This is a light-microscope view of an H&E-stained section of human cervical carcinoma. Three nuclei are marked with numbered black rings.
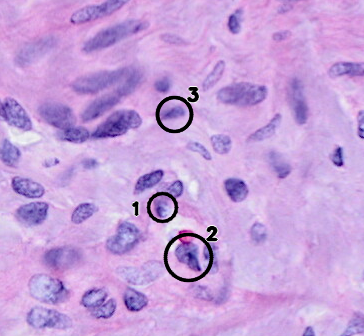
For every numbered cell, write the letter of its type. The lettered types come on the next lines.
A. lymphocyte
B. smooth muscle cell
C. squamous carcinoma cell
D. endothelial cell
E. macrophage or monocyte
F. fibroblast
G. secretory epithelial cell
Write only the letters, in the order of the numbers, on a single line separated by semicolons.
D; D; F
